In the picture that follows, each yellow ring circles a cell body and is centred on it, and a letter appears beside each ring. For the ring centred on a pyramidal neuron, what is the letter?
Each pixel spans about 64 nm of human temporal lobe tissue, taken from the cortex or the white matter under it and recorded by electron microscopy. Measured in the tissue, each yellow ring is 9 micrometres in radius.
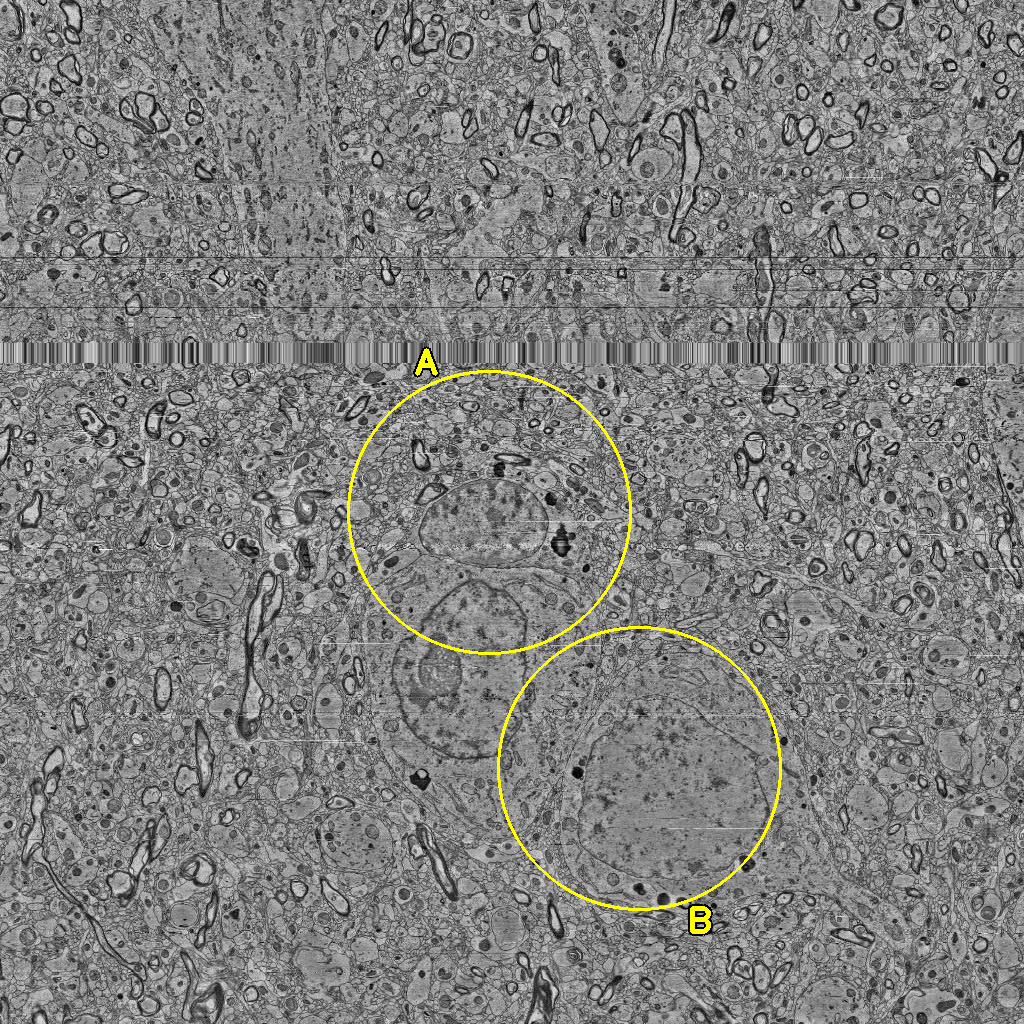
B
